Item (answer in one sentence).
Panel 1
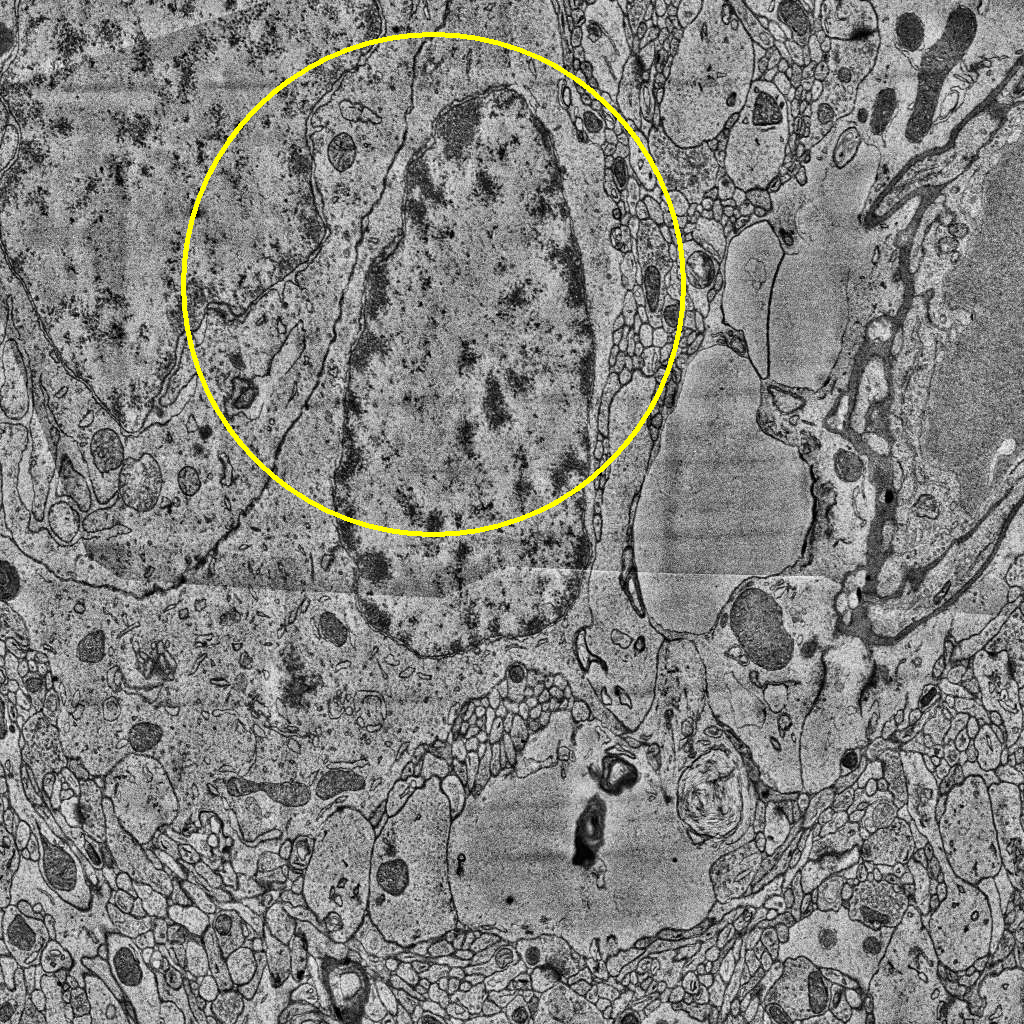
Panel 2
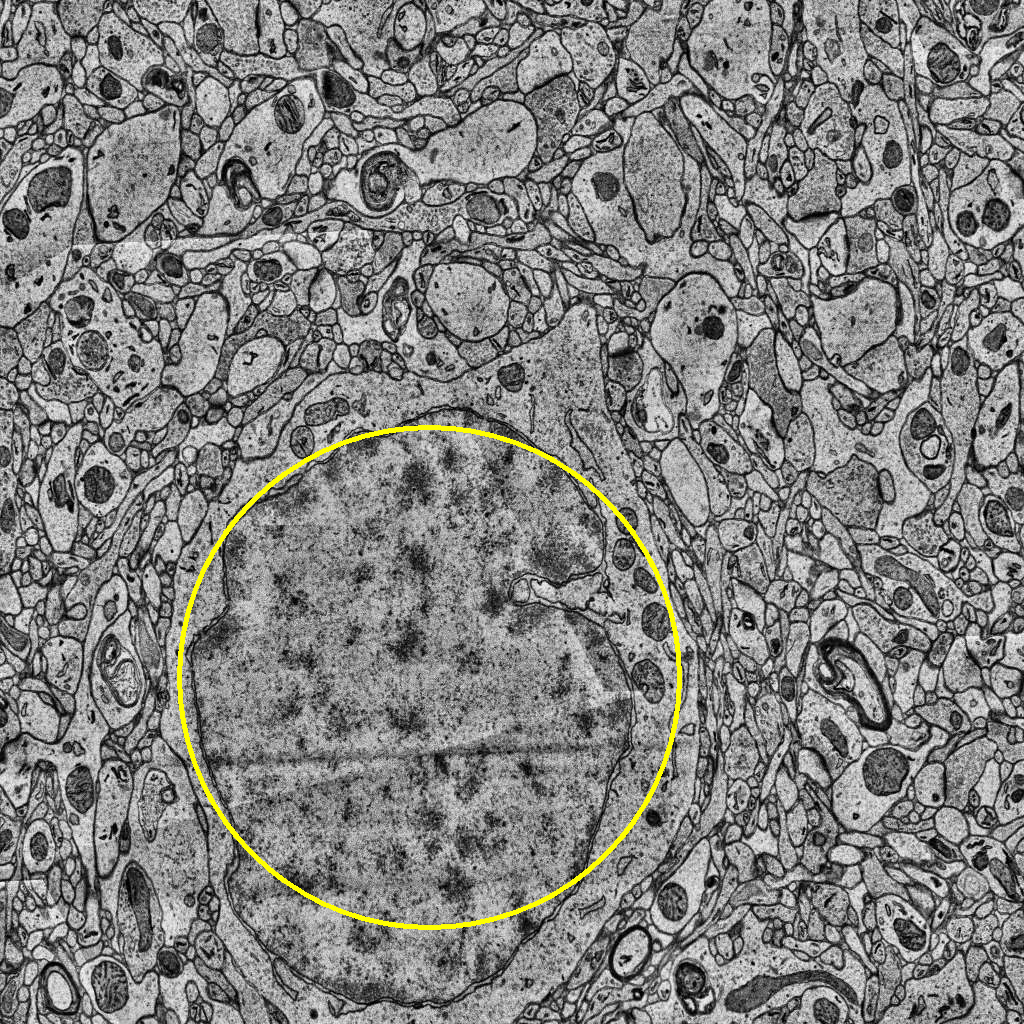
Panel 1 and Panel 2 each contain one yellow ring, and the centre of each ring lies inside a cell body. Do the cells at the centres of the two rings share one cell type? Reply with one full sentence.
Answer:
No, Panel 1 and Panel 2 show cells of two types at the centres of their rings.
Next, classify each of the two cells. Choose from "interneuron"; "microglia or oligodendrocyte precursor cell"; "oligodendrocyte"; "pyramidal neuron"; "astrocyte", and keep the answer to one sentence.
So the first is a microglial cell or oligodendrocyte precursor cell, the second an interneuron.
